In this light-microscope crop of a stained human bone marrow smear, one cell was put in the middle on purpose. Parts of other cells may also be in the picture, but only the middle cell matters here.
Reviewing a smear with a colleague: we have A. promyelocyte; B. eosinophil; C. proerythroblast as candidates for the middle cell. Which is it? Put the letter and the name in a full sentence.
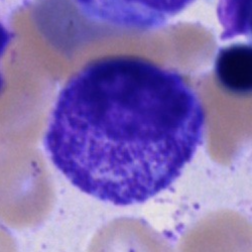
In this crop the middle cell is a promyelocyte, so option A is the correct answer.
